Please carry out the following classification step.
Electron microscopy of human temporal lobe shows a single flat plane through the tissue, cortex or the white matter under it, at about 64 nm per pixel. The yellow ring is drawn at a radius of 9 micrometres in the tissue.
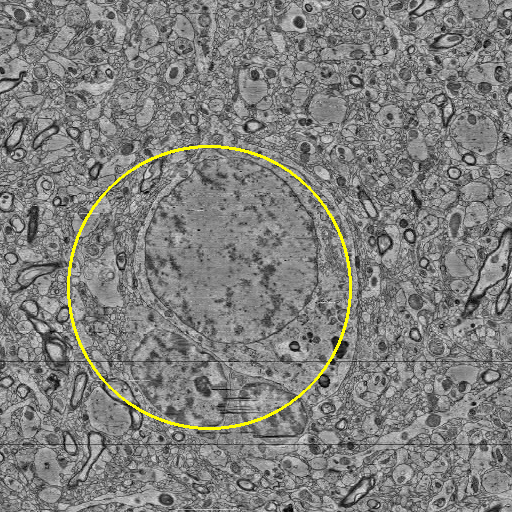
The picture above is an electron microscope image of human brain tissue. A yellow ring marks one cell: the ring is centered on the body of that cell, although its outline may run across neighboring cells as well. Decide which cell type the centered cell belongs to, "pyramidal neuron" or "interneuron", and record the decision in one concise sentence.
The cell centered in the yellow ring is a pyramidal neuron.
